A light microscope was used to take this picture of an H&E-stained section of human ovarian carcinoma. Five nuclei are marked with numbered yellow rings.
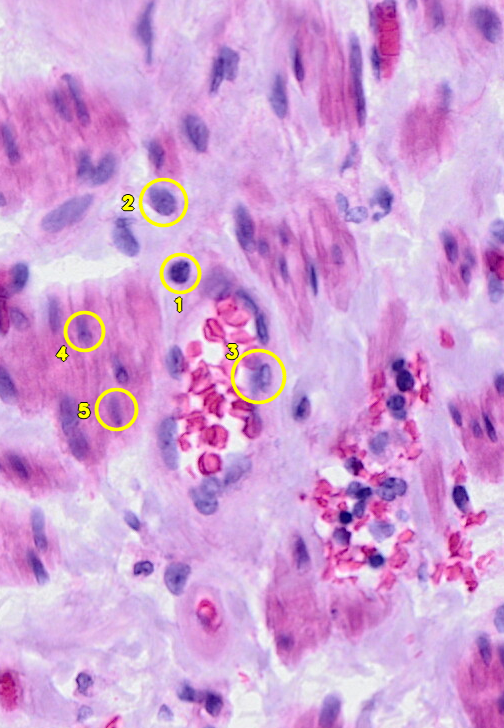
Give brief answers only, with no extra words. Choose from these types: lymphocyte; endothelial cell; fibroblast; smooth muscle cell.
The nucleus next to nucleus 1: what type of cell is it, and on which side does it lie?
an endothelial cell, to the right of nucleus 1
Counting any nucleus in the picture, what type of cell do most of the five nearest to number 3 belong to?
endothelial cell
